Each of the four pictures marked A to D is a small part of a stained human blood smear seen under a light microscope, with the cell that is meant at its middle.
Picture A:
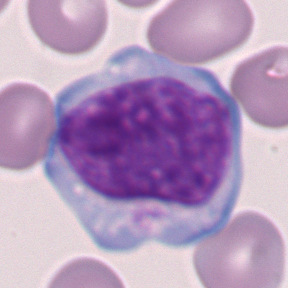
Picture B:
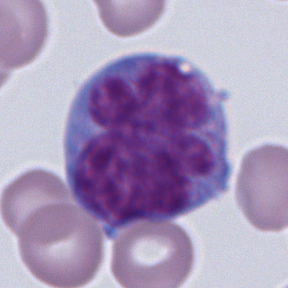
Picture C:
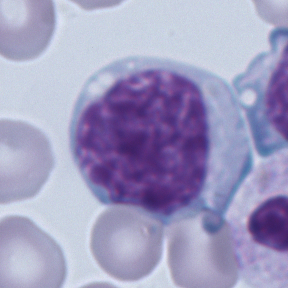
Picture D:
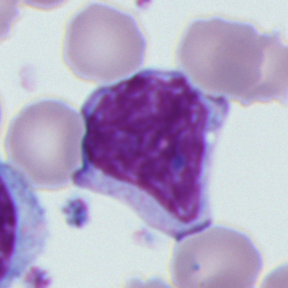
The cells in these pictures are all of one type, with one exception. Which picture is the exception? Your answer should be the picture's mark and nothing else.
D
